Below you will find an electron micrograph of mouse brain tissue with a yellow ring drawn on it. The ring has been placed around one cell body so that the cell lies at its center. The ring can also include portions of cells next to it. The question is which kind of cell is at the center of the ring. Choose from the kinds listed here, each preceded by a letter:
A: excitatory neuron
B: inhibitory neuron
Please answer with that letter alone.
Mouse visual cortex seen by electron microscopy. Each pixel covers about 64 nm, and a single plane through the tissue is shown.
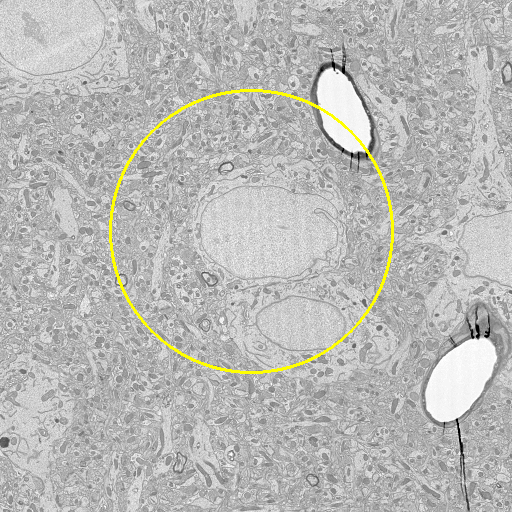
B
